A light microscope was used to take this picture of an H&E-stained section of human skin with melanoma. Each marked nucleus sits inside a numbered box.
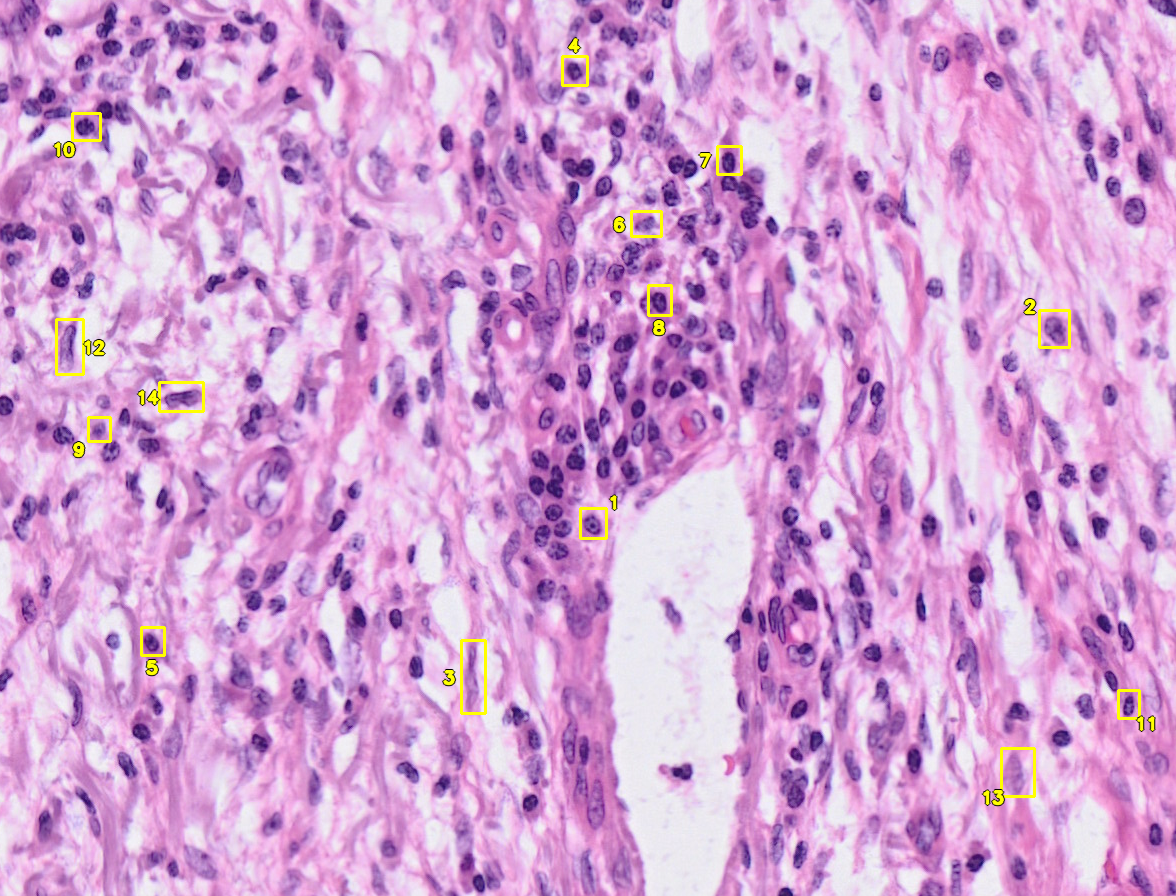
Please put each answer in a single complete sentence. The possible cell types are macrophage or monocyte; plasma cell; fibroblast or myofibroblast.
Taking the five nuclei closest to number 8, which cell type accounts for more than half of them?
Of the five nuclei nearest to number 8, most belong to plasma cells.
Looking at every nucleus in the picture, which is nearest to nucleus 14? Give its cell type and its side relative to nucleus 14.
The closest nucleus belongs to a fibroblast or myofibroblast and sits above and to the left of nucleus 14.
